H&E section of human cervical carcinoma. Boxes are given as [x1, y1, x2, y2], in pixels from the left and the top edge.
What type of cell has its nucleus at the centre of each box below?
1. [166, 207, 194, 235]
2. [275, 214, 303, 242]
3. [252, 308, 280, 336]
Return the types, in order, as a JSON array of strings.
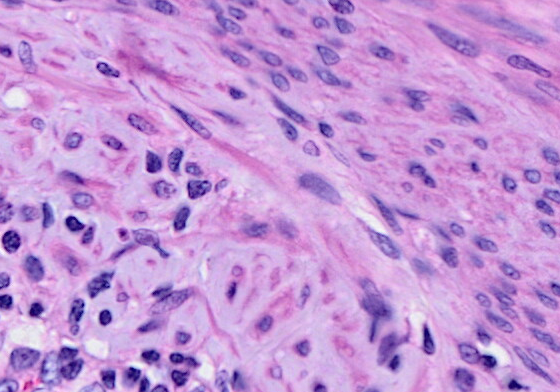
["lymphocyte", "smooth muscle cell", "smooth muscle cell"]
